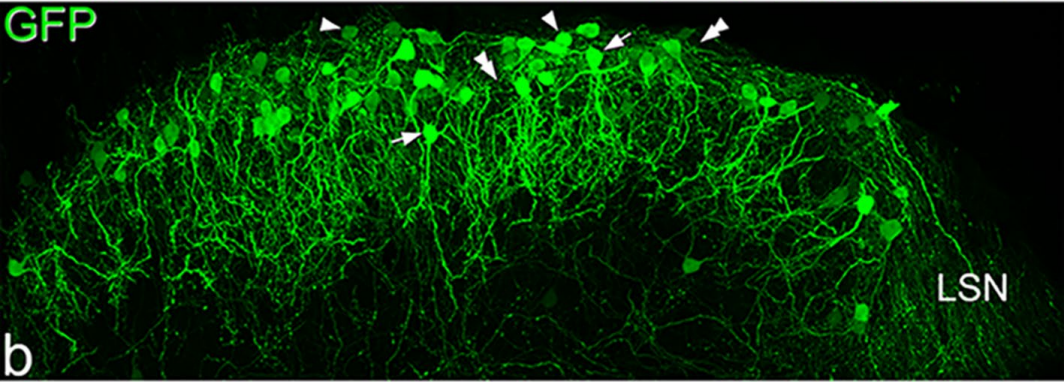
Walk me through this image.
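This is a transverse view of the dorsal horn of the spinal cord, showing neurons of the superficial dorsal horn. Their rounded or pear-shaped cell bodies are densely packed in a curved band just beneath the dorsal surface. Many thin, branching dendrites leave these cell bodies and run mainly downward into the deeper dorsal horn, forming a dense meshwork of parallel, radially oriented processes. Fewer labelled cell bodies lie deeper in the section or at the lateral edge, where fine fibres are present but cell bodies are scarce.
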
